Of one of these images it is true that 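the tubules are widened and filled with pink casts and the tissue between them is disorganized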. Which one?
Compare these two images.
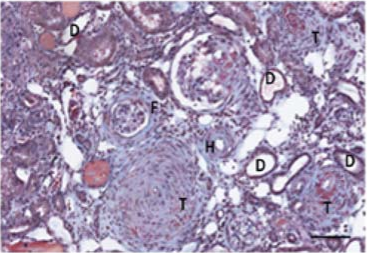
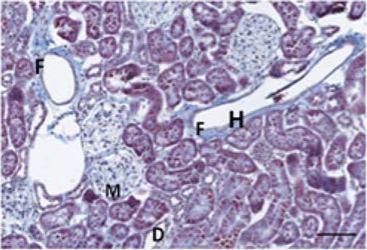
The first image.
